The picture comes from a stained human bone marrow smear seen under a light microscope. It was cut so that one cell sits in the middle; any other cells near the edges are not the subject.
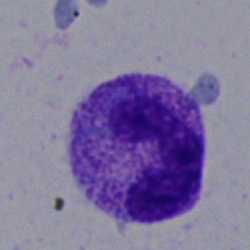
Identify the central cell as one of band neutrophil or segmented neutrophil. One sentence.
The central cell in this smear crop is a band neutrophil.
